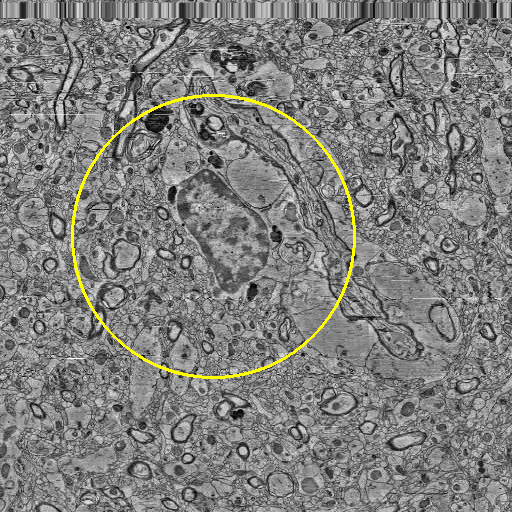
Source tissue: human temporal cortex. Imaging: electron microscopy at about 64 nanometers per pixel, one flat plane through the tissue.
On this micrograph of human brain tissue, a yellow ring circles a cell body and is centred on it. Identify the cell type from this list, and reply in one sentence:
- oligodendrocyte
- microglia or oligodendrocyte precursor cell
The cell at the centre is a microglial cell or oligodendrocyte precursor cell.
